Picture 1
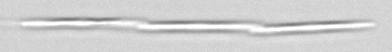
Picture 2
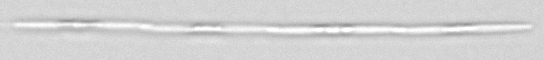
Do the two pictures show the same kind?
Yes, both are Pseudo-nitzschia.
